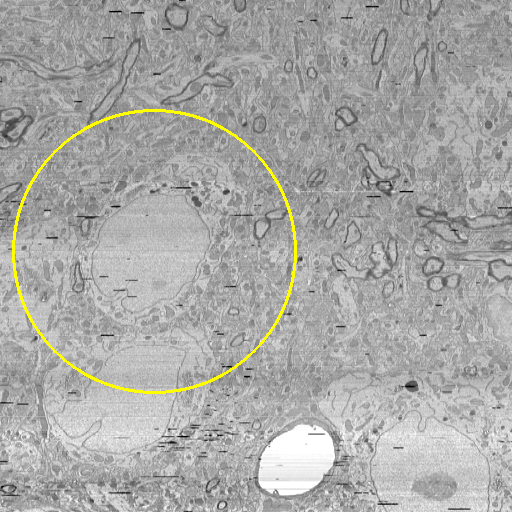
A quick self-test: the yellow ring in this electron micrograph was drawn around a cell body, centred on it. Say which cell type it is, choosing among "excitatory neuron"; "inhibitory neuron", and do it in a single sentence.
The yellow-ringed cell is an inhibitory neuron.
